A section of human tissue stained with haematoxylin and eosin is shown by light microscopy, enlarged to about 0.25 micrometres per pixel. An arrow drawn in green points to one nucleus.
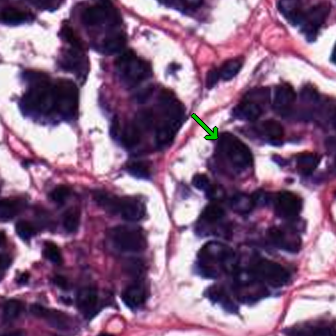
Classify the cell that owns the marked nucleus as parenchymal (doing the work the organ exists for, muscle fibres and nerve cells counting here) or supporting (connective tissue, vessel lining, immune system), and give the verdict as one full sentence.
In the image the marked nucleus is that of a pancreatic acinar cell, a parenchymal cell.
